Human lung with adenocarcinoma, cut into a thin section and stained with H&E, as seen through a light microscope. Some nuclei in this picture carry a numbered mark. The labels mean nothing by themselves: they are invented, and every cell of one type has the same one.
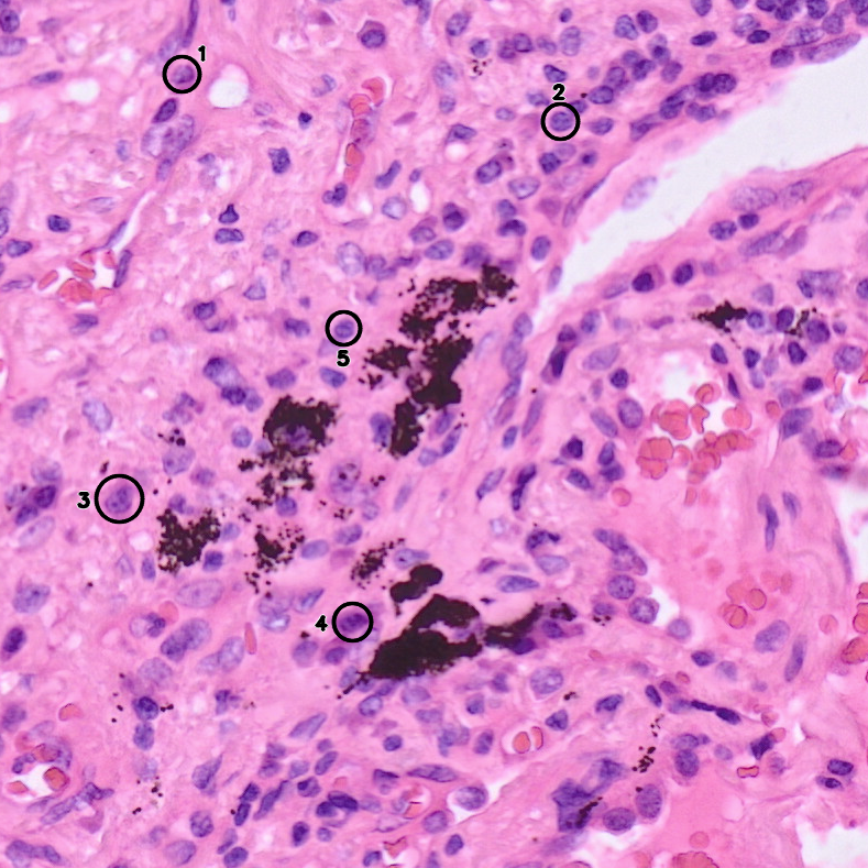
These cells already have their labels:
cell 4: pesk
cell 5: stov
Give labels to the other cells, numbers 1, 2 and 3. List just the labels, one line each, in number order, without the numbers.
pesk
stov
pesk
